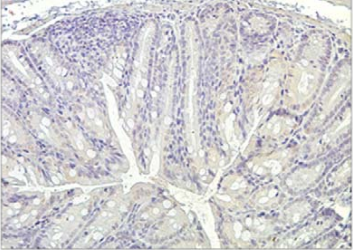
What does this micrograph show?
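This is normal colon with a regular mucosa of long, straight, closely packed crypts. The crypts are lined by columnar epithelial cells with basal blue nuclei and contain many pale, rounded goblet cells. Narrow bands of lamina propria separate neighbouring crypts. A thin layer of smooth muscle runs along the upper edge of the field. Brown staining is scarcely seen, with the tissue showing mainly the blue counterstain.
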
